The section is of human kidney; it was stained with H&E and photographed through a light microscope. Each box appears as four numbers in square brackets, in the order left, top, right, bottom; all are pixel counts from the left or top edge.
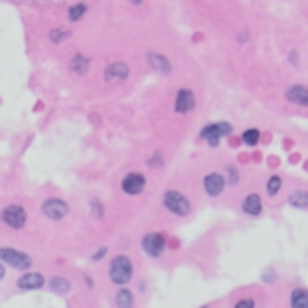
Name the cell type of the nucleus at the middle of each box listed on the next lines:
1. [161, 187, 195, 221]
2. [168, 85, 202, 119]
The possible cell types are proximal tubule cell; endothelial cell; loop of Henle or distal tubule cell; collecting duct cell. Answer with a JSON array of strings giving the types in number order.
["collecting duct cell", "proximal tubule cell"]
